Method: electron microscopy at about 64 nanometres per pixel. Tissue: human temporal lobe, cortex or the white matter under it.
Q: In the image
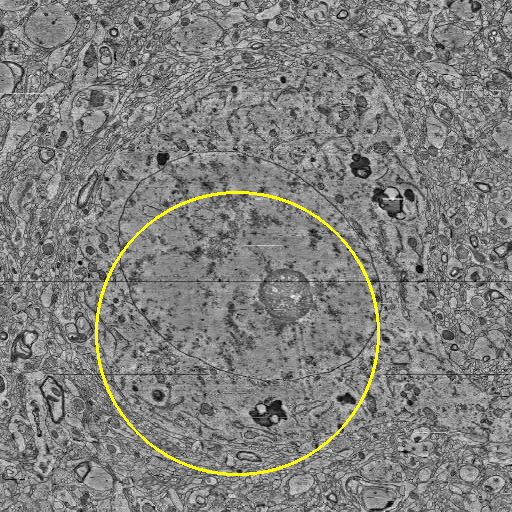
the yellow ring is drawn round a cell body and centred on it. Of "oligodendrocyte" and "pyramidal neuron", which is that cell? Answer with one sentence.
The cell centred in the ring is a pyramidal neuron.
